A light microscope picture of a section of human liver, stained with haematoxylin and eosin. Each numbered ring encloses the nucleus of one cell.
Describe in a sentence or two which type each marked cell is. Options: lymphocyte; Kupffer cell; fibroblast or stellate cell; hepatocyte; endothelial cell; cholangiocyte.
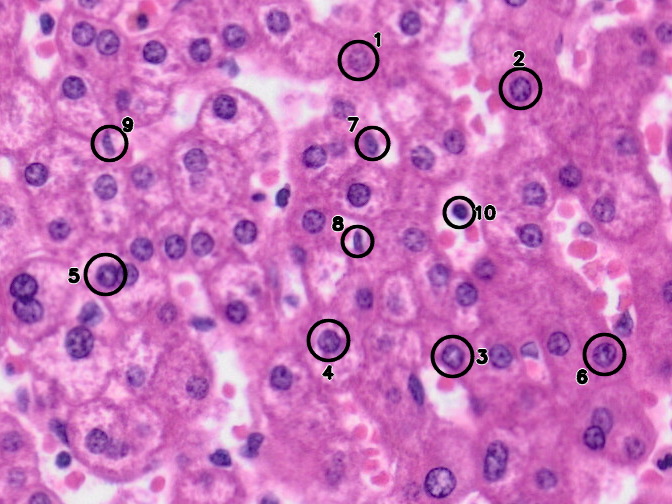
Cell 1 is a hepatocyte, cell 2 is a hepatocyte, cell 3 is a hepatocyte, cell 4 is a hepatocyte, cell 5 is a hepatocyte, cell 6 is a hepatocyte, cell 7 is a Kupffer cell, cell 8 is an endothelial cell, cell 9 is an endothelial cell and cell 10 is a lymphocyte.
